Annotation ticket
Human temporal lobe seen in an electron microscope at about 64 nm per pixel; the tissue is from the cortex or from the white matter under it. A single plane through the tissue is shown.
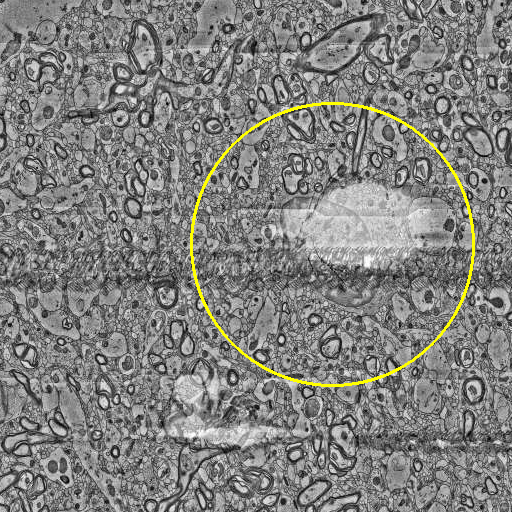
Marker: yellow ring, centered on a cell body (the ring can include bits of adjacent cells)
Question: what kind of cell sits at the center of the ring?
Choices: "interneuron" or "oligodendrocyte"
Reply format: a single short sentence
The ring is centered on an oligodendrocyte.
